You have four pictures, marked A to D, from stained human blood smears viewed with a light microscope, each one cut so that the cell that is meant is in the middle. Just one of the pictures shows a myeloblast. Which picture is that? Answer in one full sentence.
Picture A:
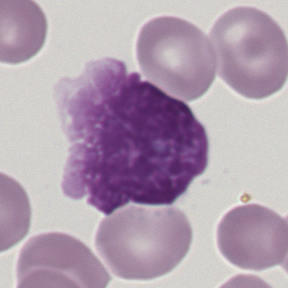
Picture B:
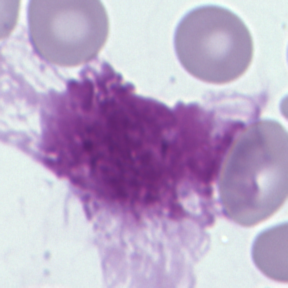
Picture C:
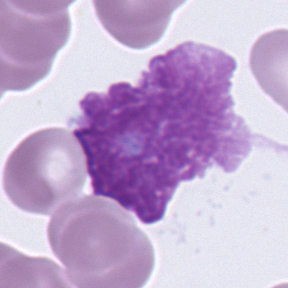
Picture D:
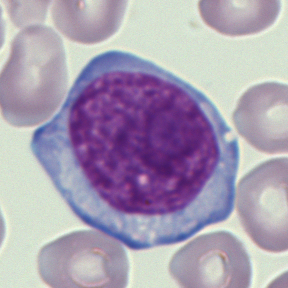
Picture D shows the myeloblast.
